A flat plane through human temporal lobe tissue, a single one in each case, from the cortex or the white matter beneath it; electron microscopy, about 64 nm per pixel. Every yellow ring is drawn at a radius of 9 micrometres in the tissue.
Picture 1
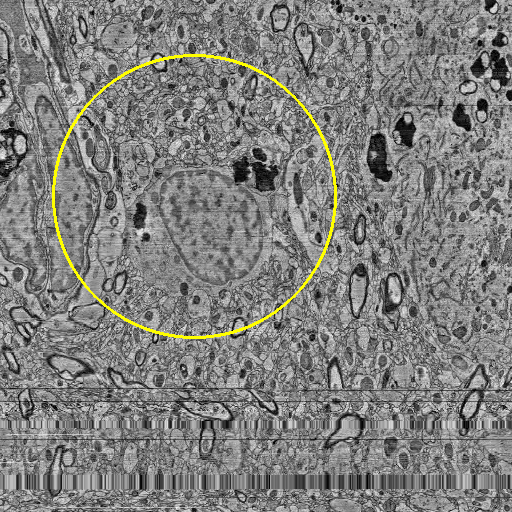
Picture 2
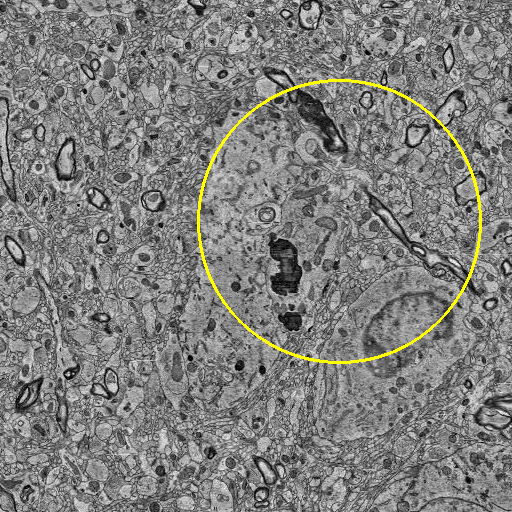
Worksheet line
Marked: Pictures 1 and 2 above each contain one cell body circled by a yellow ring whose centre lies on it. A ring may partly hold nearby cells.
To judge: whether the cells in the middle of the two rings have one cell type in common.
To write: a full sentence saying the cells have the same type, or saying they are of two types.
The cells in the middle of the rings in Picture 1 and Picture 2 have the same type.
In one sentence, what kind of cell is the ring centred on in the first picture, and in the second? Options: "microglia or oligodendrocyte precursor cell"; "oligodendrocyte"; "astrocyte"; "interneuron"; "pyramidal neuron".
The cell at the ring centre is an oligodendrocyte in both pictures.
